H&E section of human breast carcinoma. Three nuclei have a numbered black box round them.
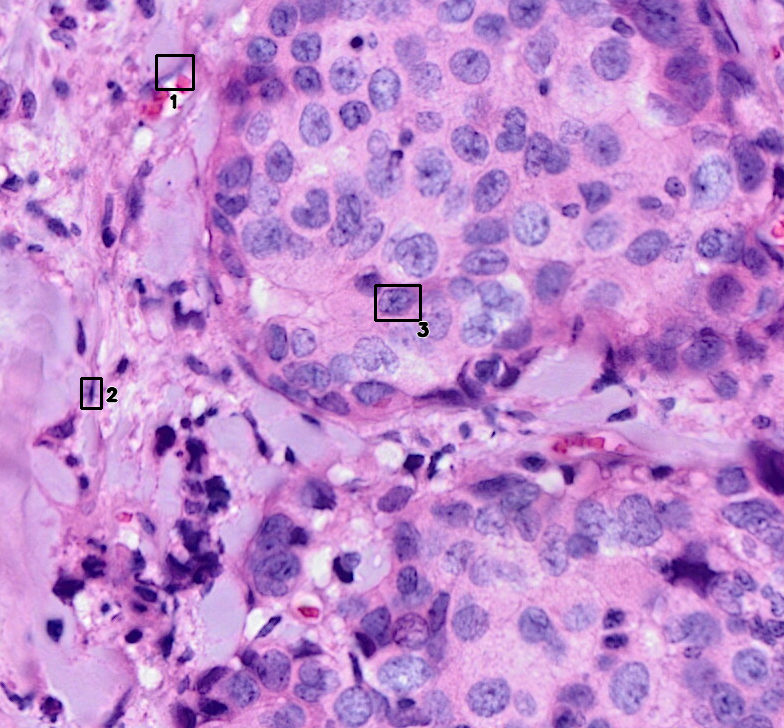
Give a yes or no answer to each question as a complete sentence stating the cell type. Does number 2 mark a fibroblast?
Yes, the nucleus numbered 2 belongs to a fibroblast.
